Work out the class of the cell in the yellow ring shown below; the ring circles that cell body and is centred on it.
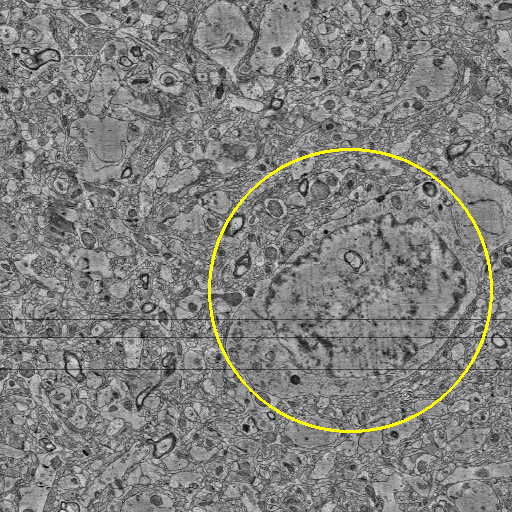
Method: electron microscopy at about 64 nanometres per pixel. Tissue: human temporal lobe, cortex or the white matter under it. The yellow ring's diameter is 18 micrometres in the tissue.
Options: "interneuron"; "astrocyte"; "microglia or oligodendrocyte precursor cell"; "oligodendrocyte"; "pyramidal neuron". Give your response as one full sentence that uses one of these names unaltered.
The body ringed in yellow, right at the ring's centre, is that of an interneuron.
